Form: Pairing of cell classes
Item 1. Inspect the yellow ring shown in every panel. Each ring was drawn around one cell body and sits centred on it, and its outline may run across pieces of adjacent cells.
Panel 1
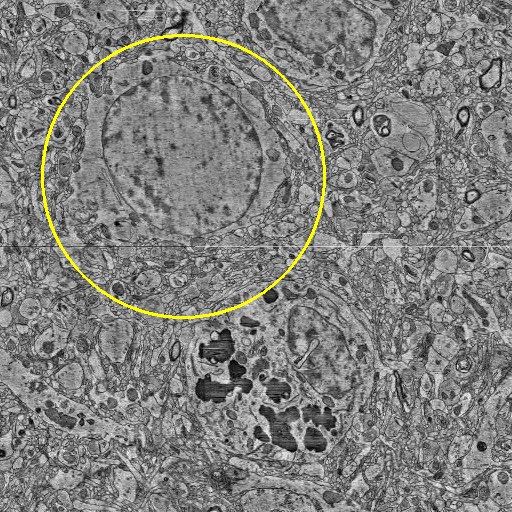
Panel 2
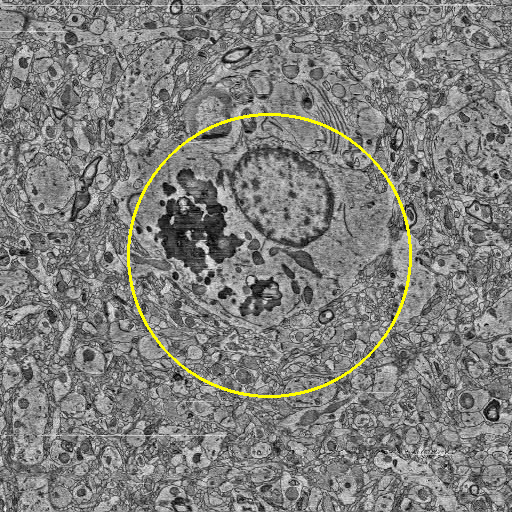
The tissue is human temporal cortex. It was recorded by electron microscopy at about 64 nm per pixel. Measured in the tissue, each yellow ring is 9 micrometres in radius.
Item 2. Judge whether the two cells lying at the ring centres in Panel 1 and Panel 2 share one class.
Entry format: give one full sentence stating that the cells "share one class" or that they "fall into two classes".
The cells at the ring centres in Panel 1 and Panel 2 share one class.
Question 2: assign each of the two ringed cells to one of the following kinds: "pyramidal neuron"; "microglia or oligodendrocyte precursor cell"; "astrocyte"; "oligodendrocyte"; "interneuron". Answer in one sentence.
Each of the ringed cells, first and second, is an astrocyte.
